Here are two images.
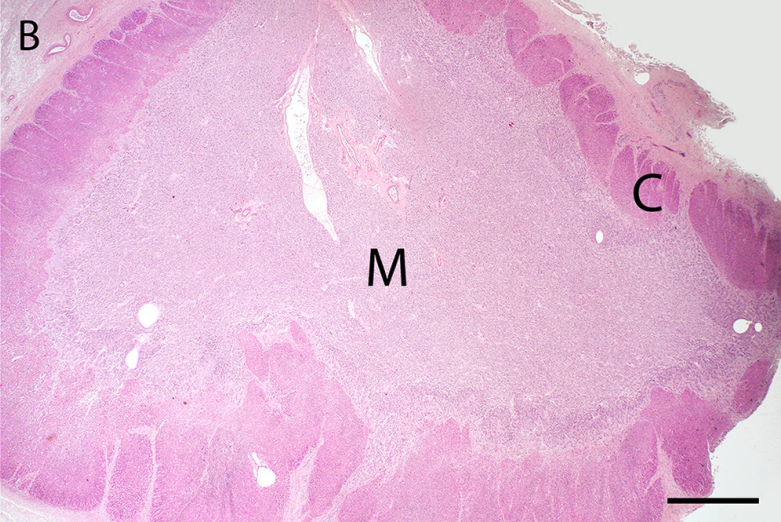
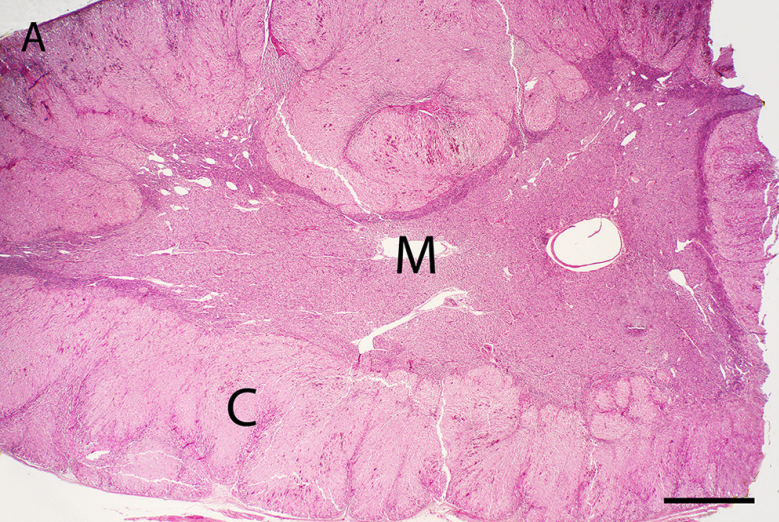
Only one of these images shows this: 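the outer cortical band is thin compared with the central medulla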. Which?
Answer: The first image.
